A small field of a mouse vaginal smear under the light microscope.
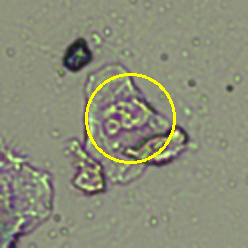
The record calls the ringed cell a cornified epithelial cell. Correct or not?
Correct; it is a cornified epithelial cell.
